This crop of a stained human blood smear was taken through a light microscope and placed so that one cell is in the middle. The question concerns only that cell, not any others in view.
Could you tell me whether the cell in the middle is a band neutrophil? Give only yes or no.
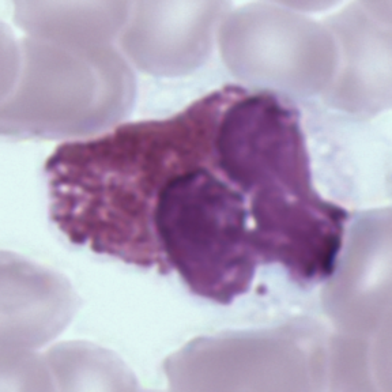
no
